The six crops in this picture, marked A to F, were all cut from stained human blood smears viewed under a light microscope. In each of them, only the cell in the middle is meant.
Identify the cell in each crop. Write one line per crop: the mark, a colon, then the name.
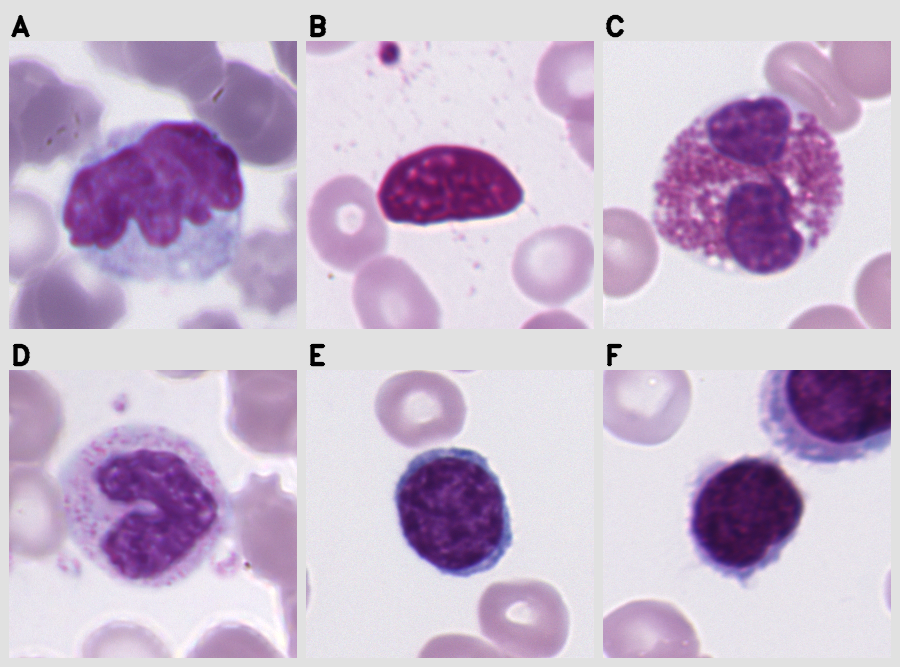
A: monocyte
B: smudge cell
C: eosinophil
D: band neutrophil
E: typical lymphocyte
F: hairy cell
